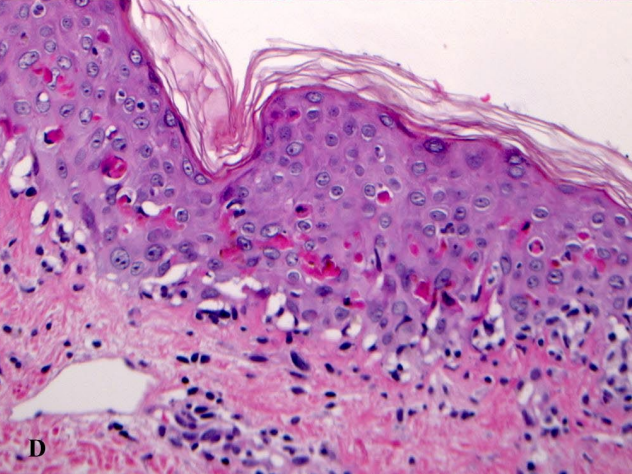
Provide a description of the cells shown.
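The epidermis here is made of keratinocytes with round, pale nuclei and pink cytoplasm under a thin basket-weave layer of keratin. Scattered among them, especially in the lower and middle layers, are rounded cells with intensely pink, glassy cytoplasm, some with small dark or vanished nuclei; a few lie in clear halos. At the base, the border with the dermis is blurred by clear spaces and small dark inflammatory cells, and a dilated vessel sits in the loose pink dermis below. These bright pink rounded cells are necrotic keratinocytes, alongside vacuolar degeneration at the base.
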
